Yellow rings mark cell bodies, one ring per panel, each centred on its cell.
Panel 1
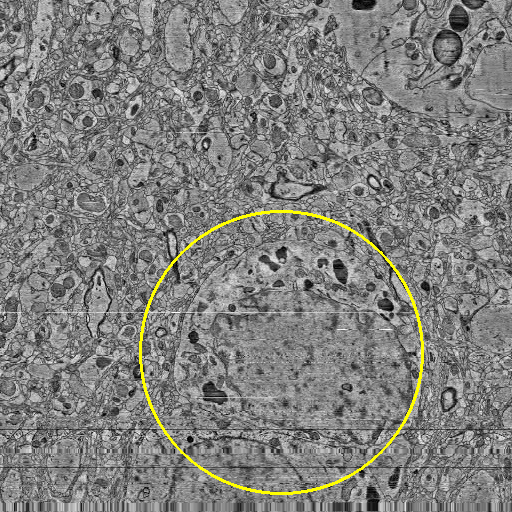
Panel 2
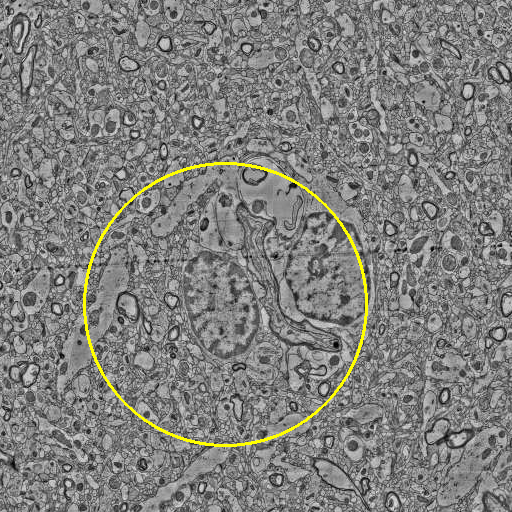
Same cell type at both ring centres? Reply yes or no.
no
